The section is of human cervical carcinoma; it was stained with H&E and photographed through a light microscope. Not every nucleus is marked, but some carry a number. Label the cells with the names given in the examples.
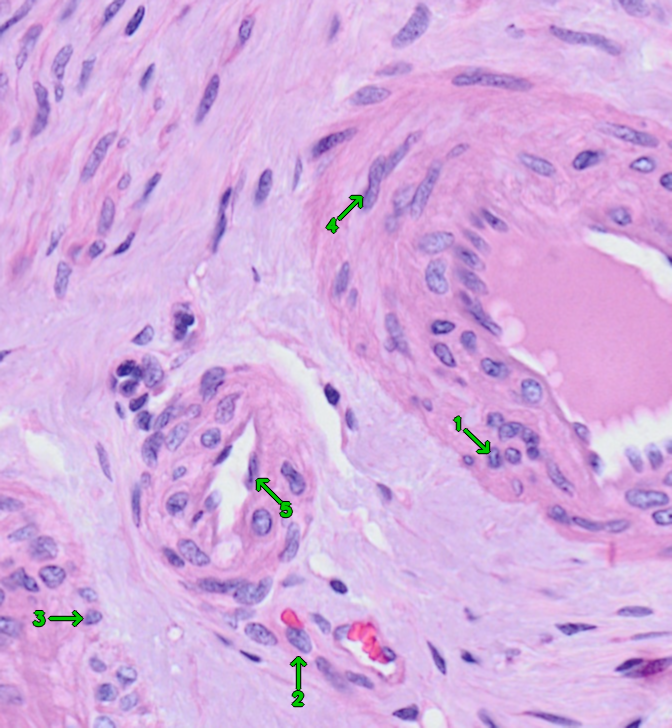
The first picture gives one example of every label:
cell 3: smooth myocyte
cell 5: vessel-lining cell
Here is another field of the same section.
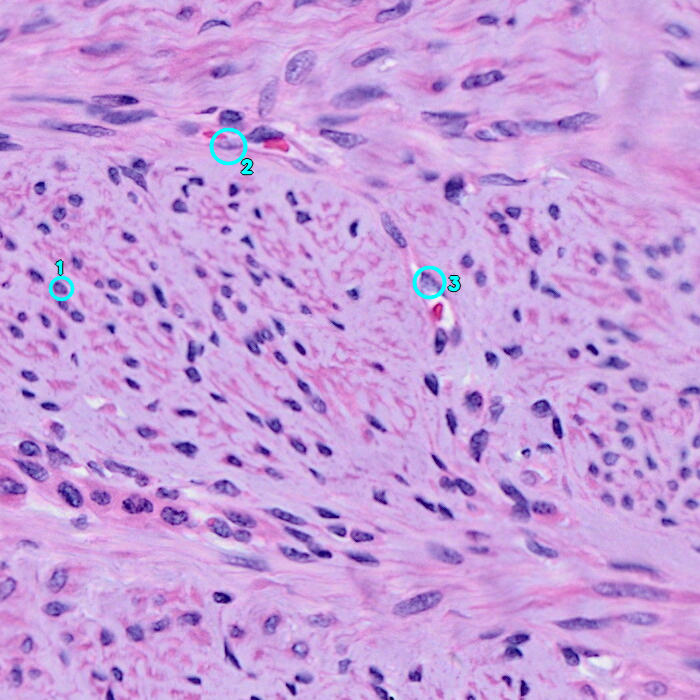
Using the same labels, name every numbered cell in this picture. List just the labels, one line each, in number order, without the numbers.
smooth myocyte
vessel-lining cell
vessel-lining cell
